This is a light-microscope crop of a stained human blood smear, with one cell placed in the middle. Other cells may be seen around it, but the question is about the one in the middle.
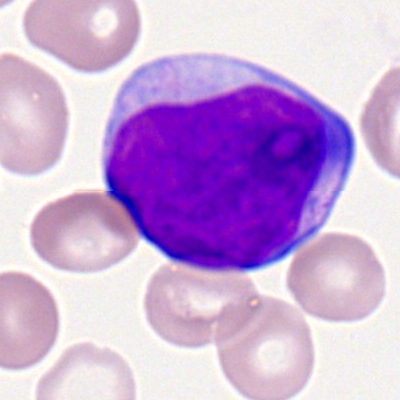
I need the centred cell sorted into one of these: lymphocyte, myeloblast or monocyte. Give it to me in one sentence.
Standing at the centre of this crop is a myeloblast.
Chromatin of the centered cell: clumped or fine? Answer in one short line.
Coarse clumps are absent, and the chromatin is fine throughout.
